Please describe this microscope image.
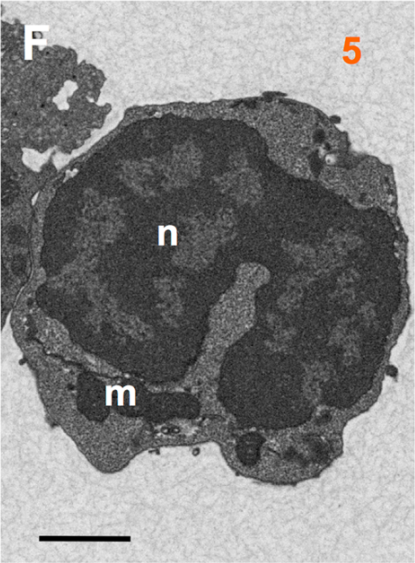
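This electron micrograph shows a single immune cell cut through its middle. Most of the cell is taken up by a large, irregularly lobed nucleus with coarse clumps of dark chromatin separated by paler areas. Around it lies a thin rim of grey cytoplasm containing a few dark mitochondria, one of them near the lower left of the nucleus. The cell outline is uneven, with short bulges and folds of the surface. Part of a neighbouring cell appears at the upper left corner, and the surrounding embedding medium looks pale and finely mottled.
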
